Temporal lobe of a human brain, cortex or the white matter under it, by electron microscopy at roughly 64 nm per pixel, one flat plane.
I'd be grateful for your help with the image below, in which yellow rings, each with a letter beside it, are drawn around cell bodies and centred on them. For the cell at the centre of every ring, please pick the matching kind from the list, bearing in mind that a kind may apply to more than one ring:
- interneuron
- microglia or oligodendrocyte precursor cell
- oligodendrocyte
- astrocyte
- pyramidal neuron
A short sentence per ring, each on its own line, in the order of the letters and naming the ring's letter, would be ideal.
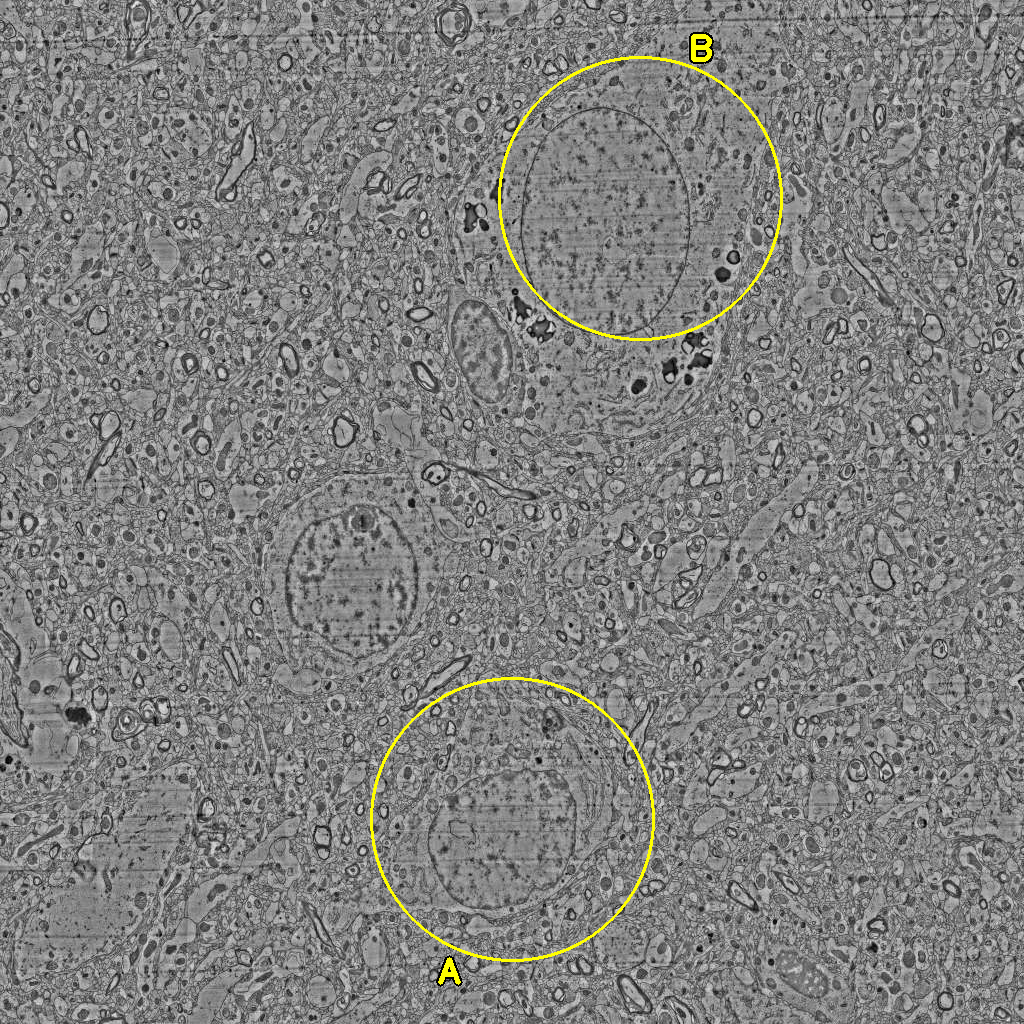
Inside ring A, the central cell is an interneuron.
Inside ring B, the central cell is a pyramidal neuron.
